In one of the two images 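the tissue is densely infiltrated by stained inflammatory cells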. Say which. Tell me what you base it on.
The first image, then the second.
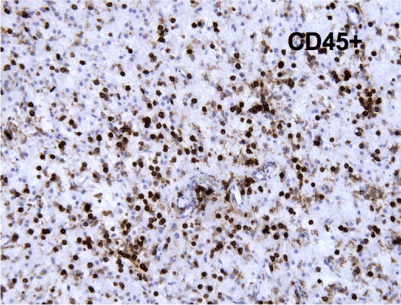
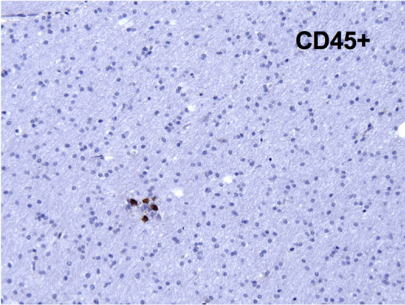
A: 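Second image: only a tiny cluster of brown cells in an otherwise blue tissue. First image: brown-stained small round cells crowd much of the field. That points to this answer: the first image.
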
